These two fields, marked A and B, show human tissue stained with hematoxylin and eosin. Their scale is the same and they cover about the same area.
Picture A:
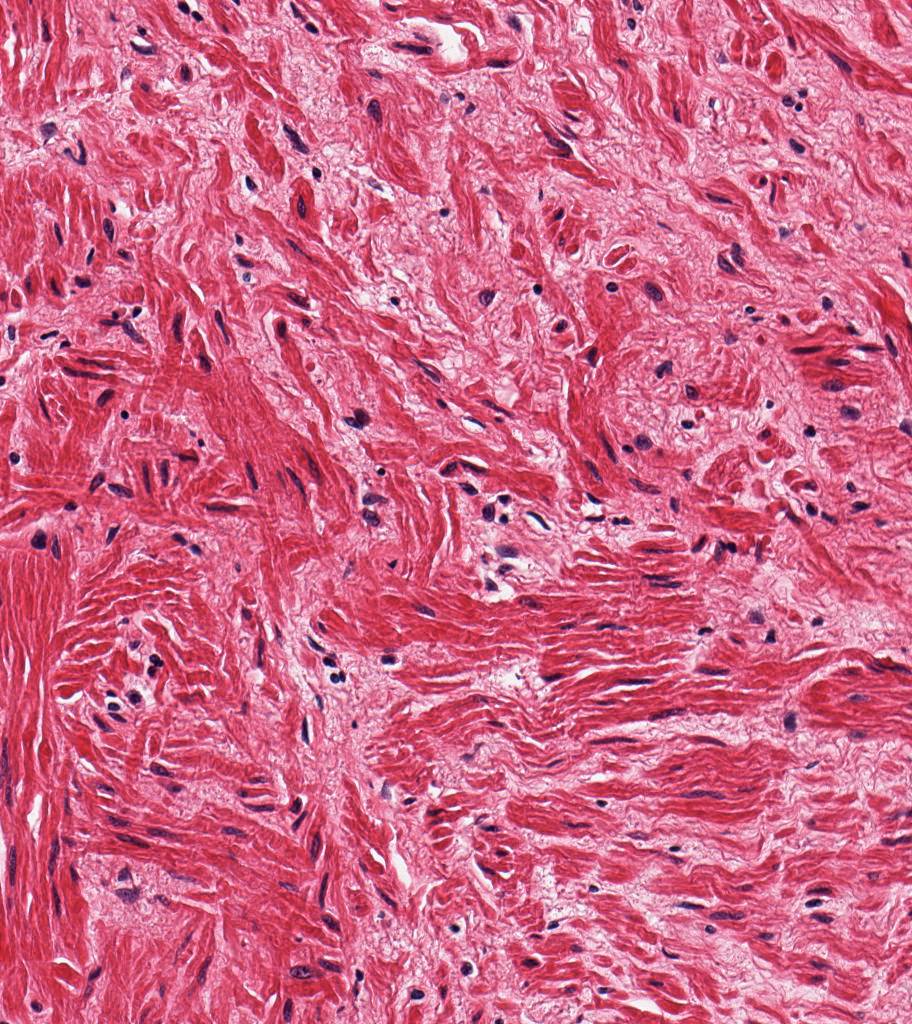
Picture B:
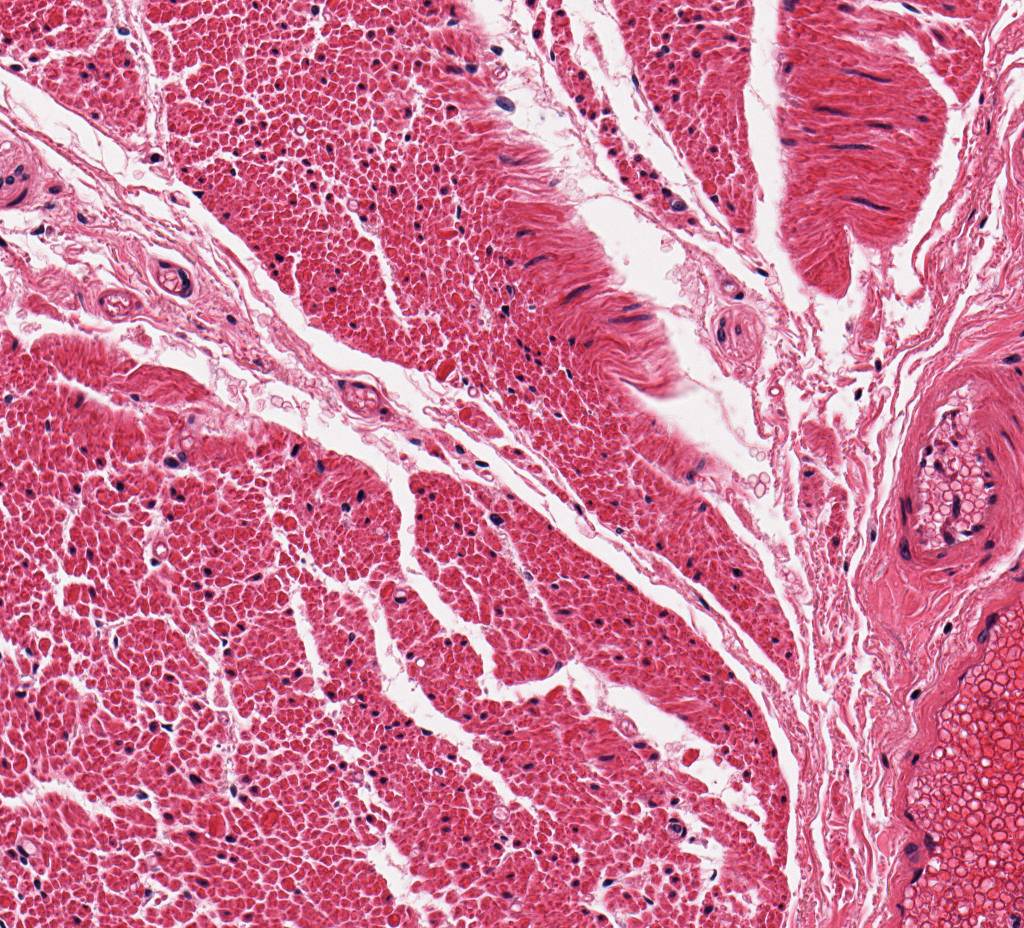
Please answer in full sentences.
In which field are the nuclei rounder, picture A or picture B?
Rounder nuclei lie in picture B.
